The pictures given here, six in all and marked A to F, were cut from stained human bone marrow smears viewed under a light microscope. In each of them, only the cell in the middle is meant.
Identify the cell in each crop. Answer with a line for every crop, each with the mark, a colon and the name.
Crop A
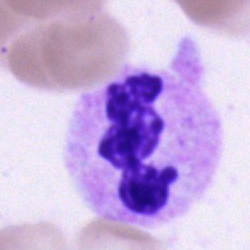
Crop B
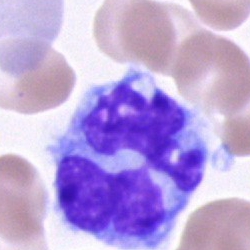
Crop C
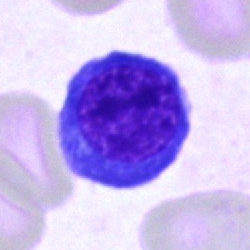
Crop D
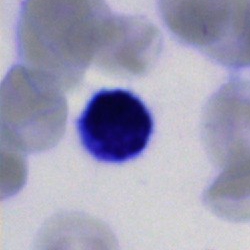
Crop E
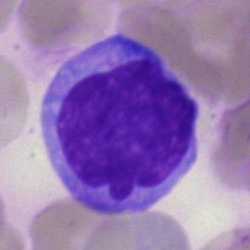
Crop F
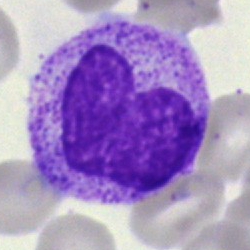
A: segmented neutrophil
B: monocyte
C: normoblast
D: lymphocyte
E: monocyte
F: metamyelocyte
